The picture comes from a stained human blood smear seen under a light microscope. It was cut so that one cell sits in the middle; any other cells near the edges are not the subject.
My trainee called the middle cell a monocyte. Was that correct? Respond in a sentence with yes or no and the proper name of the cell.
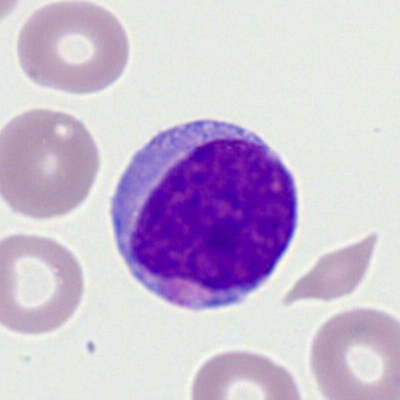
No, the cell at the centre is categorised not as a monocyte but as a myeloblast.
